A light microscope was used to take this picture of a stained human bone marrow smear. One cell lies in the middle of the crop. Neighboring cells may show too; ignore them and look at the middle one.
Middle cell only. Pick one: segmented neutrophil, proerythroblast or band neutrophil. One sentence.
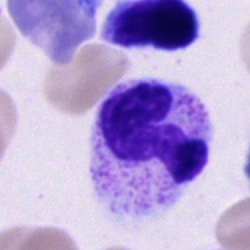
On this slide crop, the central cell is a segmented neutrophil.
